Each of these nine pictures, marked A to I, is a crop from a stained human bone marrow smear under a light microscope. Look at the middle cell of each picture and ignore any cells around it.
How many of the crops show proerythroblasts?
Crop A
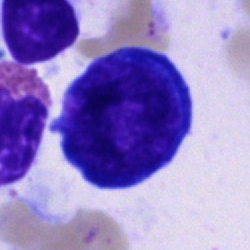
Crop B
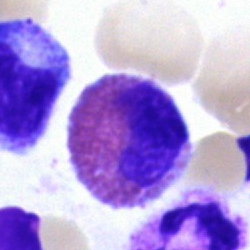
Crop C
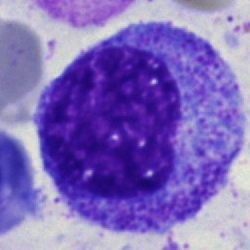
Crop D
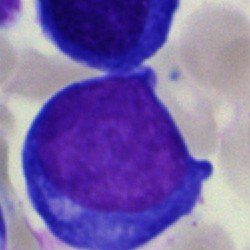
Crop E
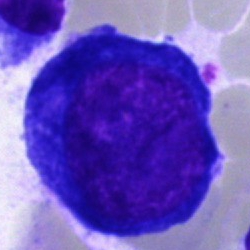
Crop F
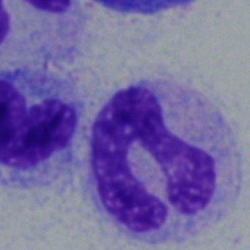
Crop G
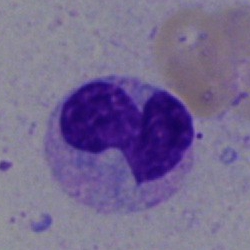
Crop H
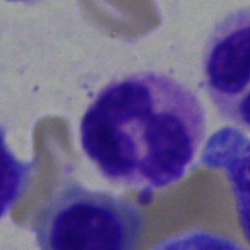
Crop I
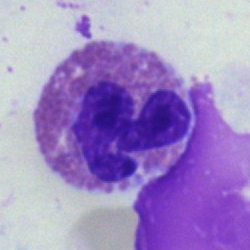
3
